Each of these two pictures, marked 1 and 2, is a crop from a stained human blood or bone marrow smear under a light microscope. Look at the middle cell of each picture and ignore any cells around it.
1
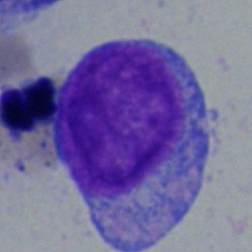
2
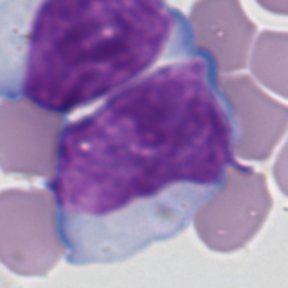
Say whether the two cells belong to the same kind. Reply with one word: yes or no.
yes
